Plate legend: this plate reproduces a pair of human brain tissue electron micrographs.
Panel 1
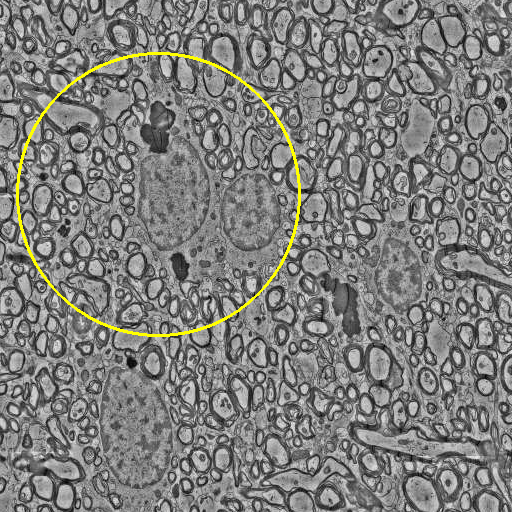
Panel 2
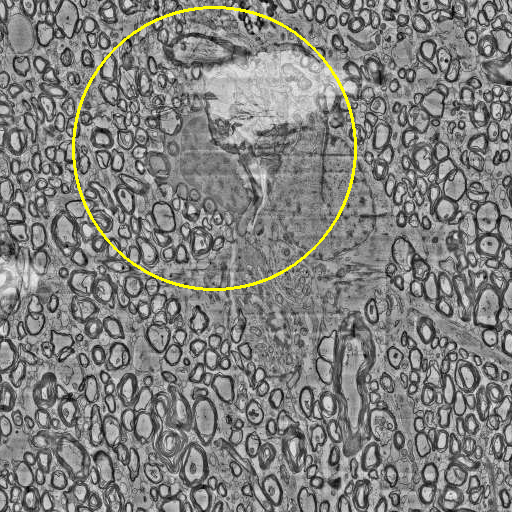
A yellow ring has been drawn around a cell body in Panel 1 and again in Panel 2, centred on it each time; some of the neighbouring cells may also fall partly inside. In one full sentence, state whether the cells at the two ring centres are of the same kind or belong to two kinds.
The ring-centred cells of Panel 1 and Panel 2 belong to two kinds.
